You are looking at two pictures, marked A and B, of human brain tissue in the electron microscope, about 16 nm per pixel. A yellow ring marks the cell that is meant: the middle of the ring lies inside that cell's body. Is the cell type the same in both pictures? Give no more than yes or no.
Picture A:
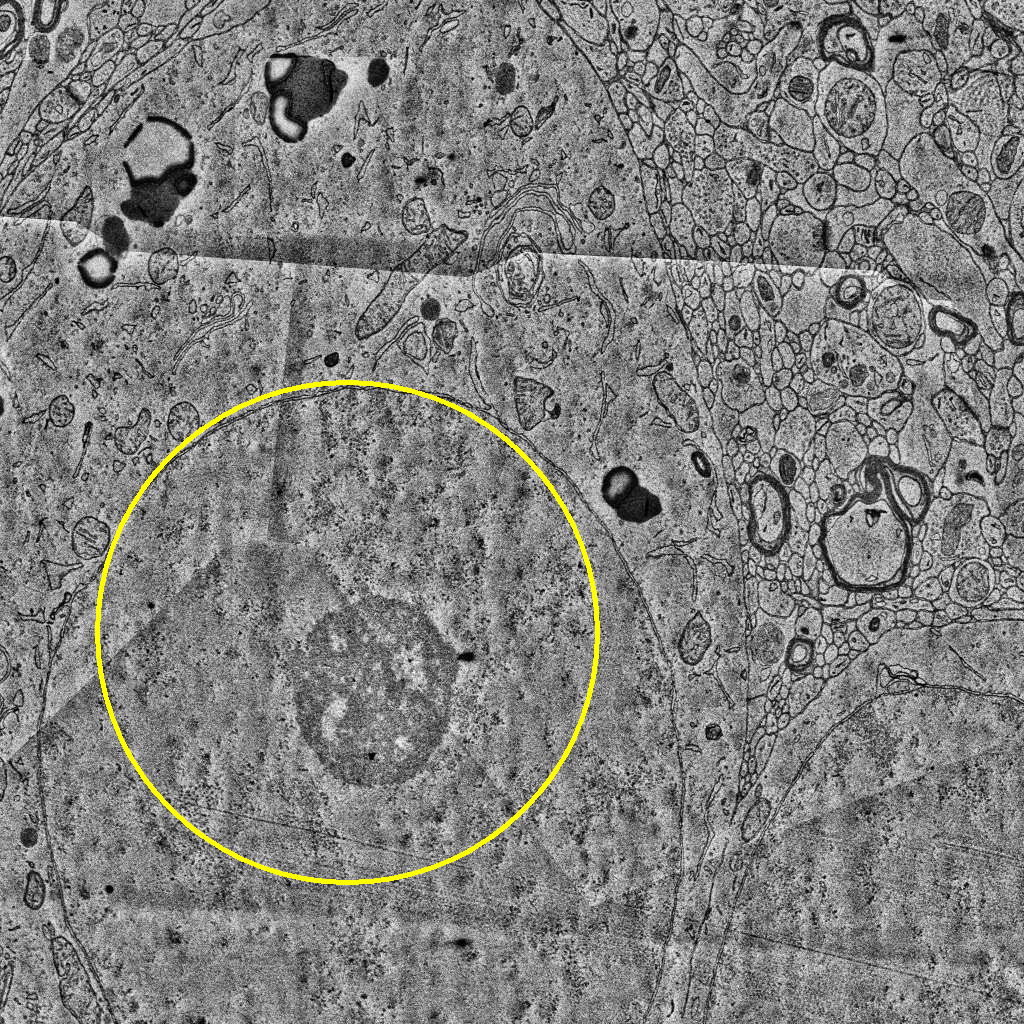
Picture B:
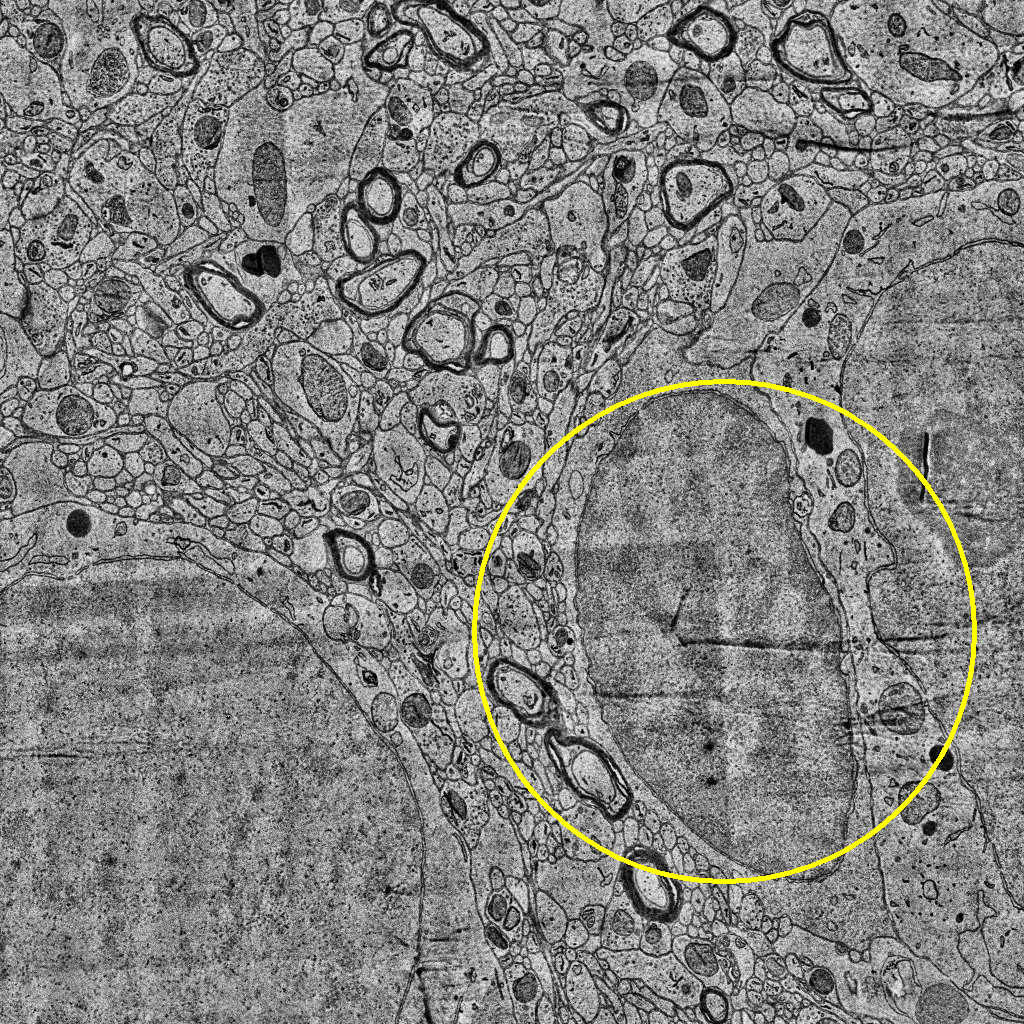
no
